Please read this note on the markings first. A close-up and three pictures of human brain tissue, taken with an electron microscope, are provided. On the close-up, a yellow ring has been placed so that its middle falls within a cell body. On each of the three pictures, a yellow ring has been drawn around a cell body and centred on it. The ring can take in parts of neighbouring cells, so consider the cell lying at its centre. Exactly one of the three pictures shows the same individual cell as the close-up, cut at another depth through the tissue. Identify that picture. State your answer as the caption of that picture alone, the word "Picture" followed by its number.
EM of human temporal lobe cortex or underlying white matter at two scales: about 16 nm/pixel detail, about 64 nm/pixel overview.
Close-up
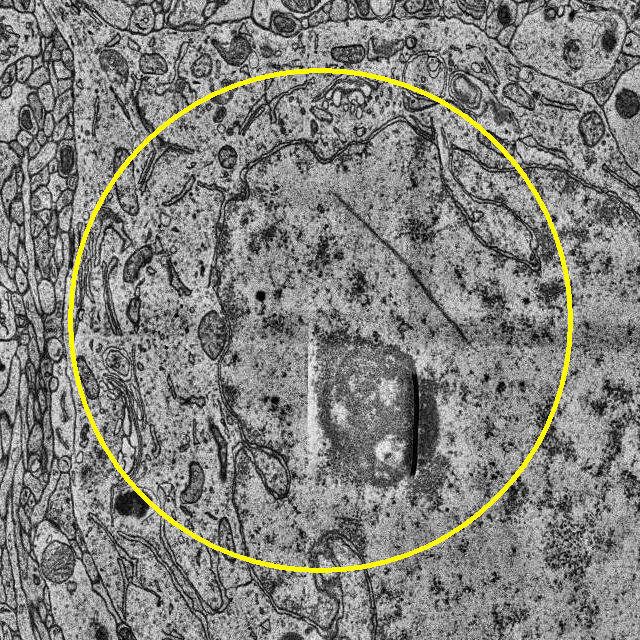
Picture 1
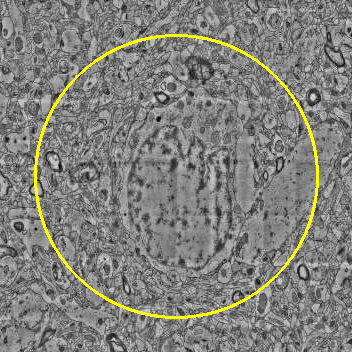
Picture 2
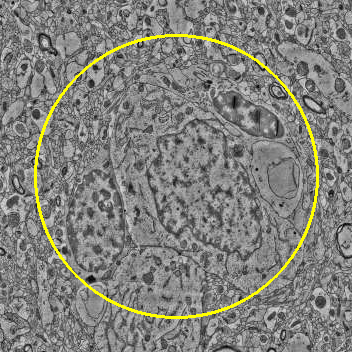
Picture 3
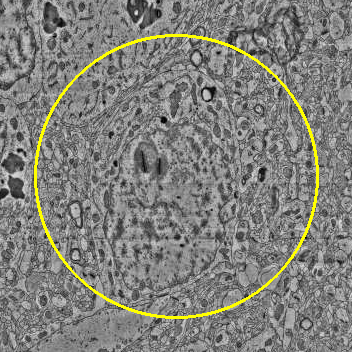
Picture 2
